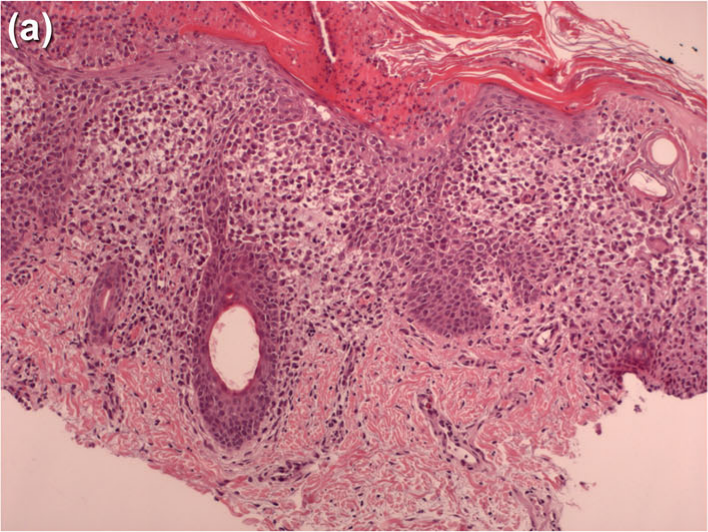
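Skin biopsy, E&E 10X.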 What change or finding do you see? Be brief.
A: Dermal infiltrate with epidermotropism.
